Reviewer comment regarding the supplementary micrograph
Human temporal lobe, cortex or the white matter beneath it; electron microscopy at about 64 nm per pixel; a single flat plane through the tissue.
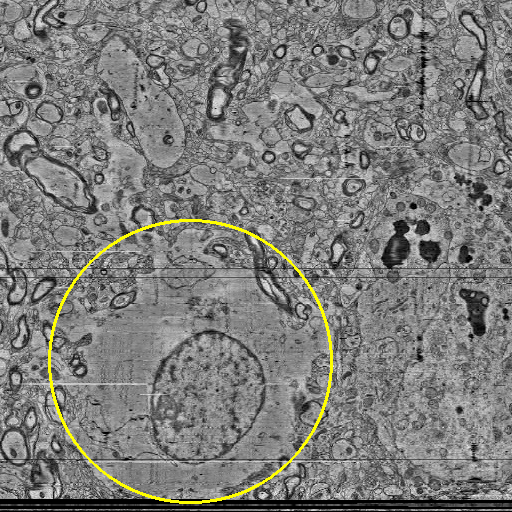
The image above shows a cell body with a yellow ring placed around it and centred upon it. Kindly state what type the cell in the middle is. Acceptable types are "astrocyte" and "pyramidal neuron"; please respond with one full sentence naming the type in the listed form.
In the image above, the cell on which the yellow ring is centred is an astrocyte.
